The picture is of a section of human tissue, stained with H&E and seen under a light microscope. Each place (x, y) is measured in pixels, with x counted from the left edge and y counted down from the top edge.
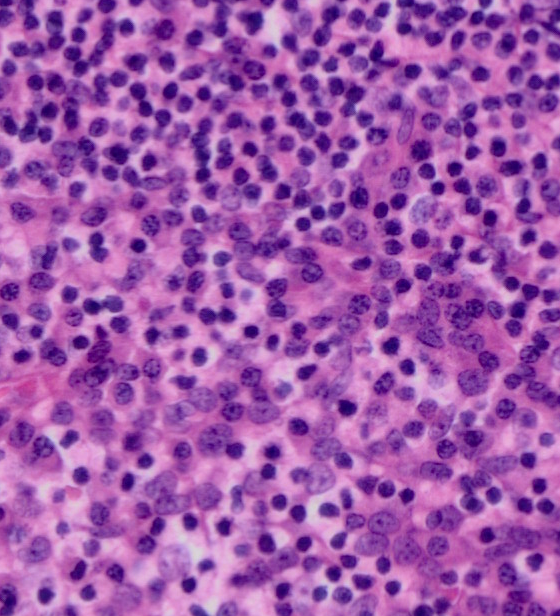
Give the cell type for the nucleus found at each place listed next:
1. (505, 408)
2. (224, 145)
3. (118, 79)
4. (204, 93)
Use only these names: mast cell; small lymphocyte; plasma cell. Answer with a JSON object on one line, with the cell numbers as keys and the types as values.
{"1": "plasma cell", "2": "small lymphocyte", "3": "small lymphocyte", "4": "small lymphocyte"}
